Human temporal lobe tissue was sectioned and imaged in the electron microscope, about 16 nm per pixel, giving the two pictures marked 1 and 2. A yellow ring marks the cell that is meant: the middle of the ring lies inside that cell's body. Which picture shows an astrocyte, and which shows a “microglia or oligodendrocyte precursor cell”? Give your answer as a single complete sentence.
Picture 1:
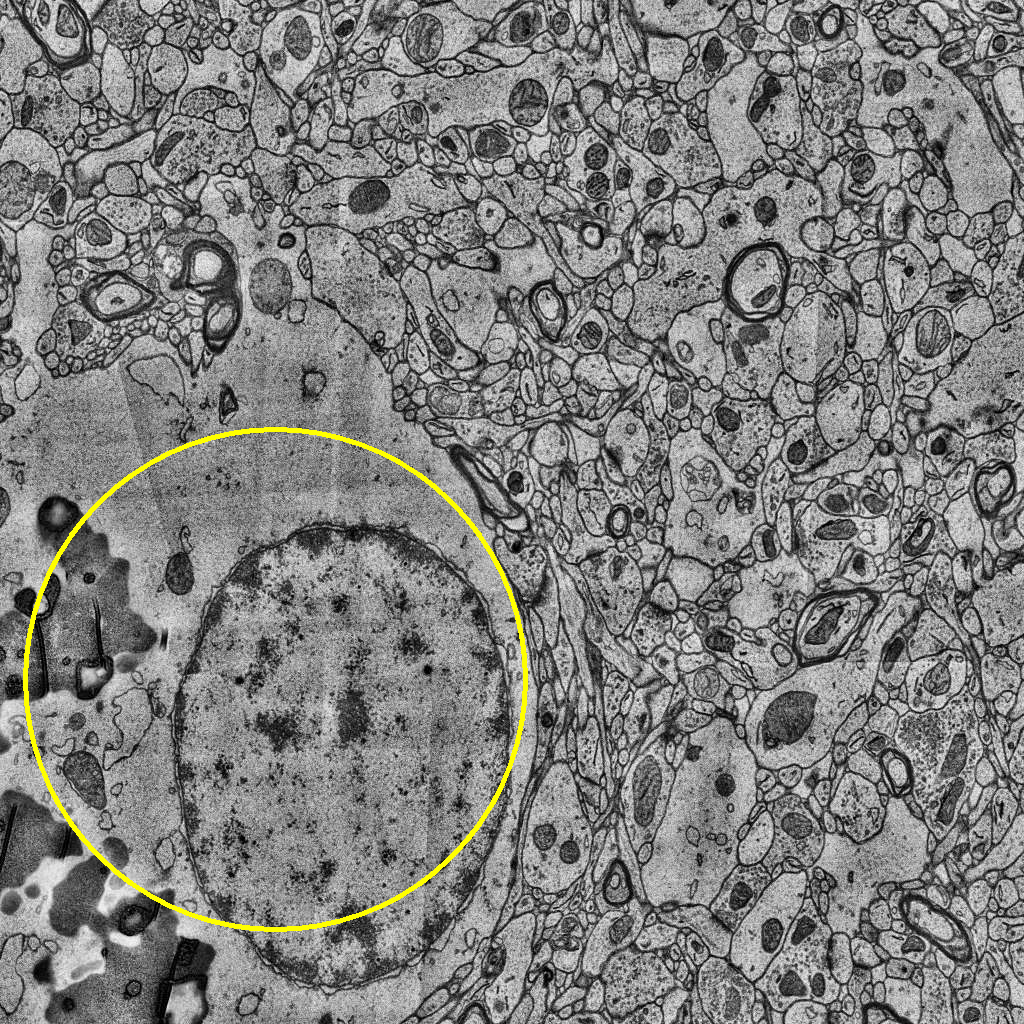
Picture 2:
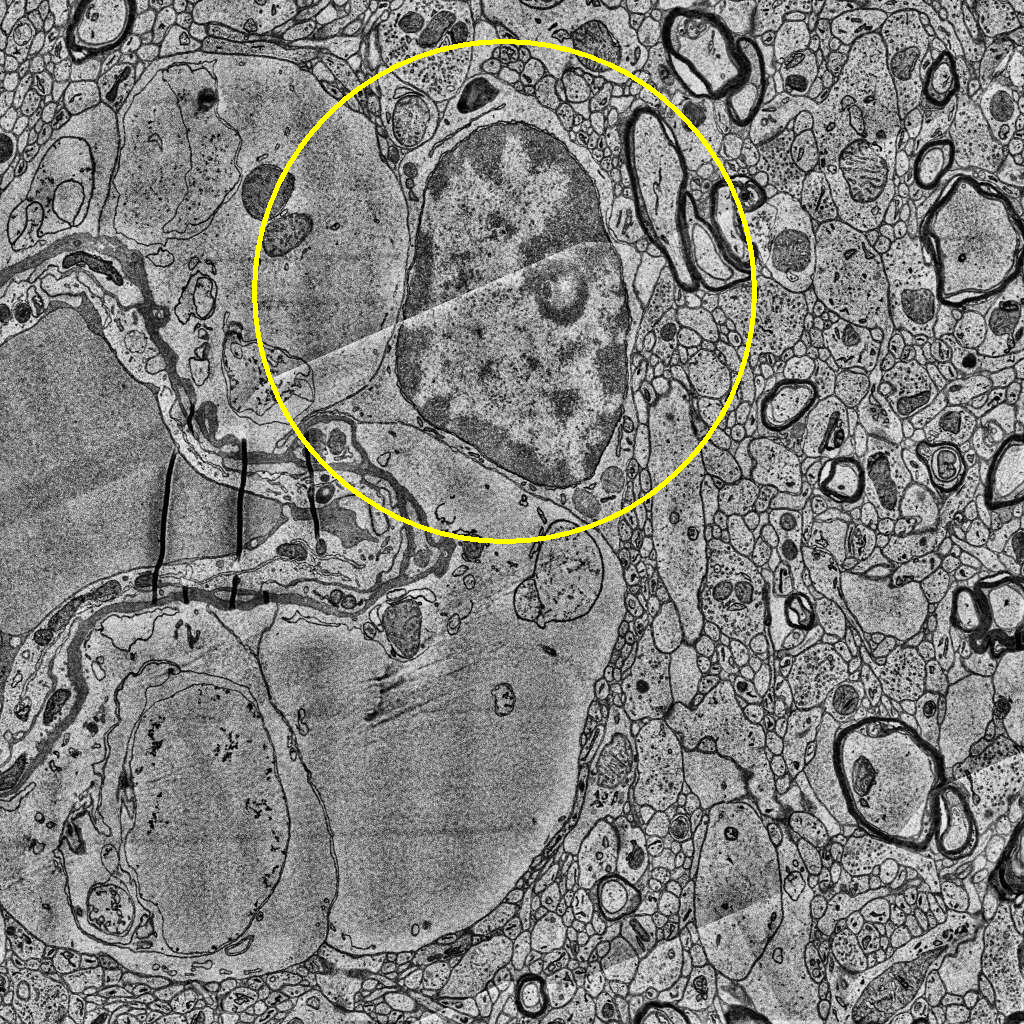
The cell in picture 1 is an astrocyte, and the one in picture 2 is a “microglia or oligodendrocyte precursor cell”.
